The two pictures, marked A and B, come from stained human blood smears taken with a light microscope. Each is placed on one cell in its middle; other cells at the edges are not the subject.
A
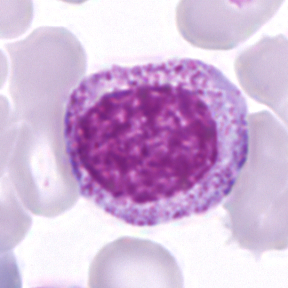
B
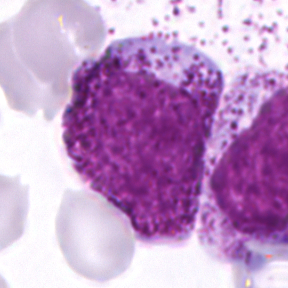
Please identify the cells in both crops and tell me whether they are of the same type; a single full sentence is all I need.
No, crop A represents a myelocyte, and crop B represents a promyelocyte.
